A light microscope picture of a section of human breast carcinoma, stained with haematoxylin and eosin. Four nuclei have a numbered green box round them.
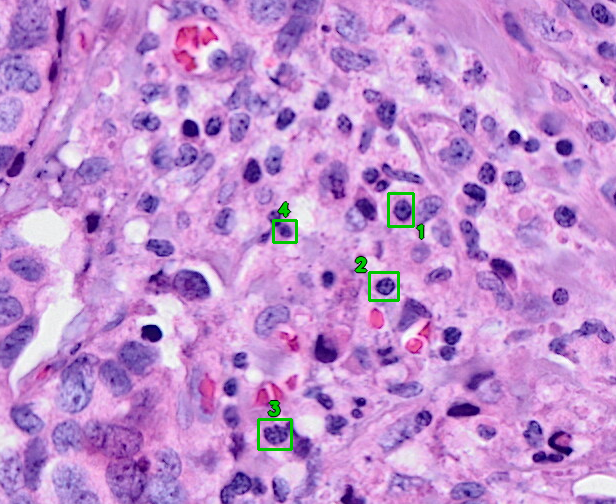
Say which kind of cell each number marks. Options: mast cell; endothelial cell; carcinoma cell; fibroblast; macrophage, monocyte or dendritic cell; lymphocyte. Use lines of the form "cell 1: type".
cell 1: mast cell
cell 2: lymphocyte
cell 3: lymphocyte
cell 4: lymphocyte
